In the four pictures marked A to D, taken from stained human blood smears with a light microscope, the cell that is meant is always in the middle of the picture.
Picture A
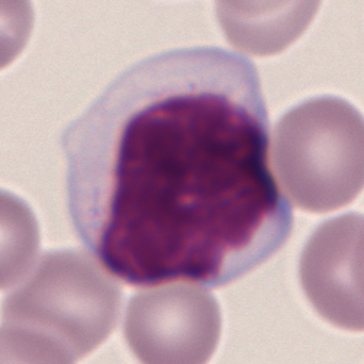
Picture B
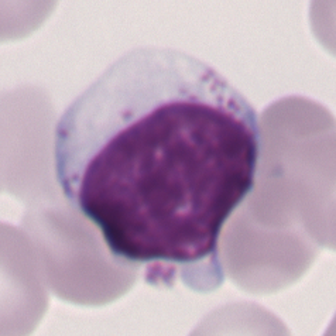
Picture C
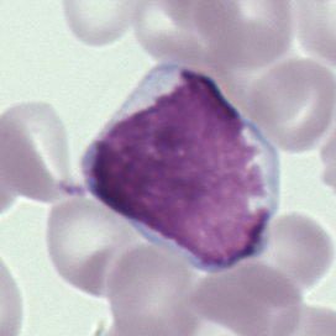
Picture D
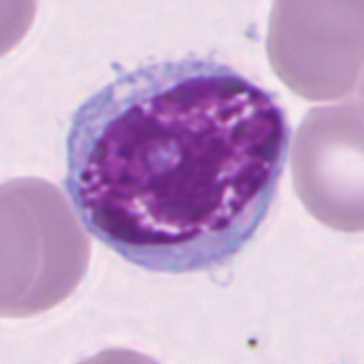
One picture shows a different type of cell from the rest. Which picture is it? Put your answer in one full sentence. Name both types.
Unlike the rest, which show large granular lymphocytes, picture D shows a plasma cell.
